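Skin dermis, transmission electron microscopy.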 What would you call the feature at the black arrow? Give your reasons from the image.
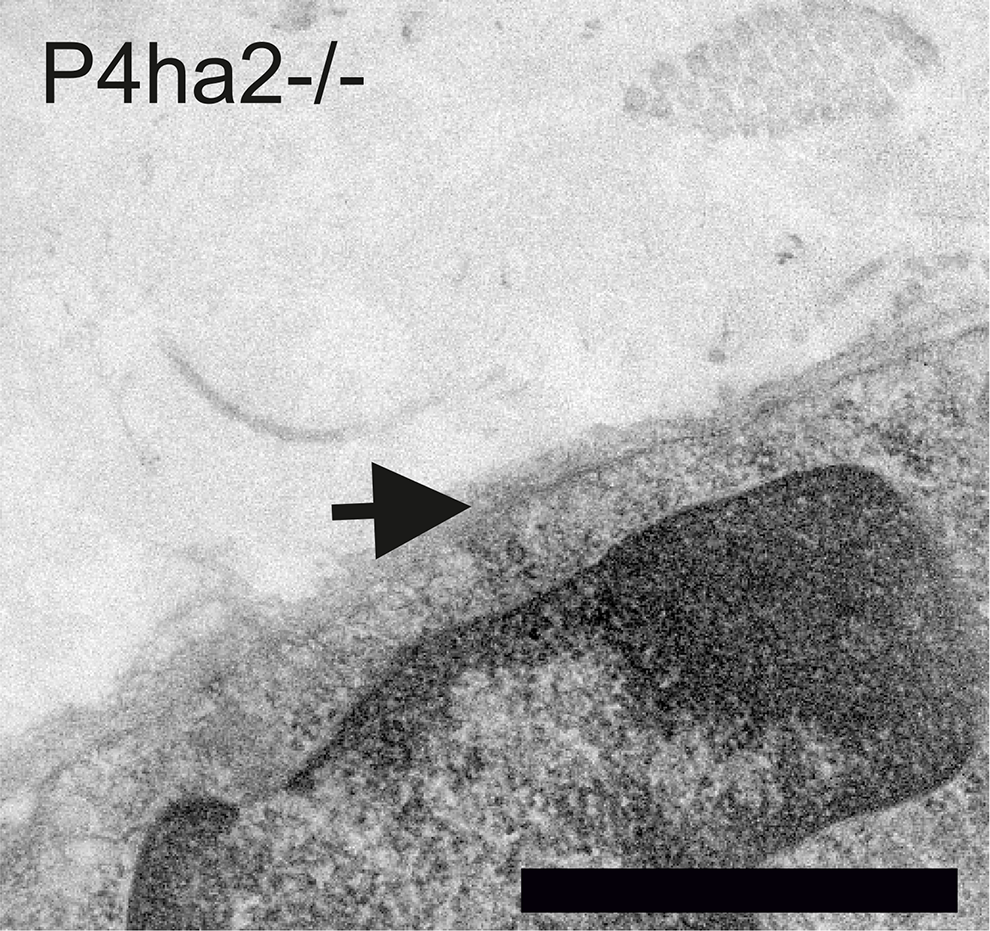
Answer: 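Basement membrane. The arrow points to a thin grey band along the outside of a cell. A nucleus with dark clumped chromatin lies just inside this band.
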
